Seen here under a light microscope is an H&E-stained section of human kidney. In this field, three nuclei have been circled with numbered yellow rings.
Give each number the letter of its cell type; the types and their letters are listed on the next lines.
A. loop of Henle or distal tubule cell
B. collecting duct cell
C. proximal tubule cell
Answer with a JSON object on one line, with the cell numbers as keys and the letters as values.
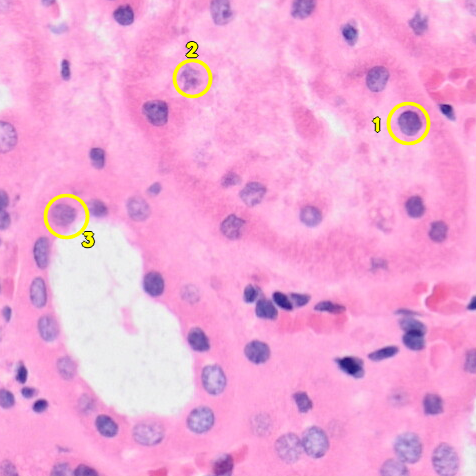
{"1": "C", "2": "C", "3": "A"}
